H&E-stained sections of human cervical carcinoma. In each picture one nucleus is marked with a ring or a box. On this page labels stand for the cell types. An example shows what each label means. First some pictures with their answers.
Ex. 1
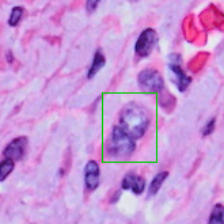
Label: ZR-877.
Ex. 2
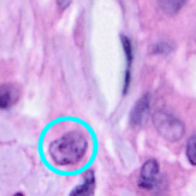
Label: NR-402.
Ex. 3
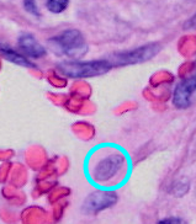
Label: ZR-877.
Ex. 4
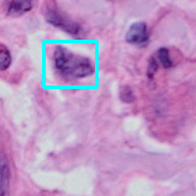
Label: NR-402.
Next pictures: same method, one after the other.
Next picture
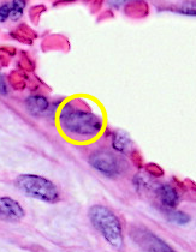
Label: ZR-877.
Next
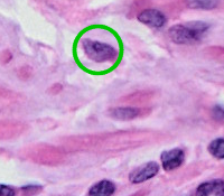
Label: NR-402.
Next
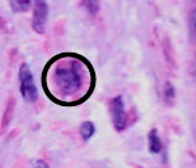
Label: NR-402.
